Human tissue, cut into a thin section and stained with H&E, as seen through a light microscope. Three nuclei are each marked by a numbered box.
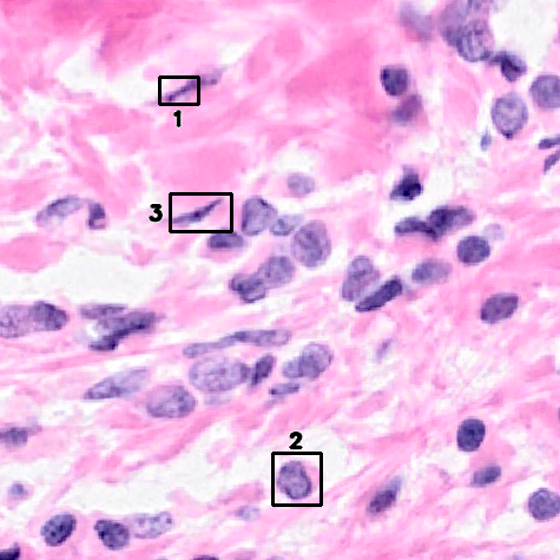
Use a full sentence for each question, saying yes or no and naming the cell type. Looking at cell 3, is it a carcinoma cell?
No, cell 3 is classified as a fibroblast rather than a carcinoma cell.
